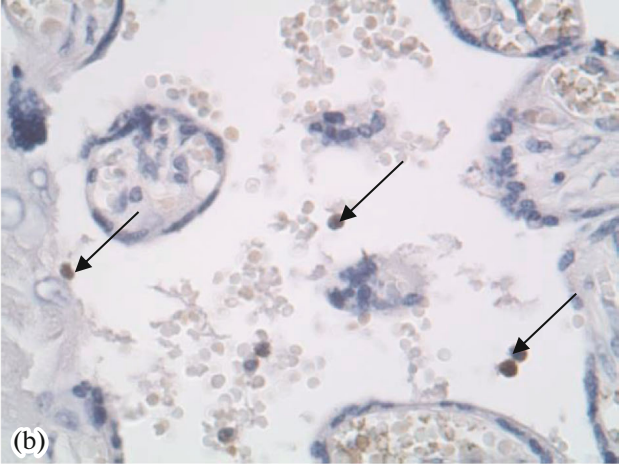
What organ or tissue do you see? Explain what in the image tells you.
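Placental villi. Rounded cross-sections of villi bounded by a thin layer of cells with blue nuclei. Villi contain capillaries filled with red blood cells. Villi float in a wide space holding free red blood cells.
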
